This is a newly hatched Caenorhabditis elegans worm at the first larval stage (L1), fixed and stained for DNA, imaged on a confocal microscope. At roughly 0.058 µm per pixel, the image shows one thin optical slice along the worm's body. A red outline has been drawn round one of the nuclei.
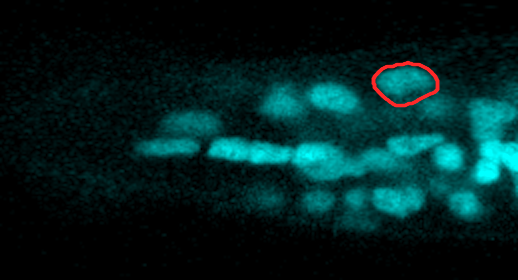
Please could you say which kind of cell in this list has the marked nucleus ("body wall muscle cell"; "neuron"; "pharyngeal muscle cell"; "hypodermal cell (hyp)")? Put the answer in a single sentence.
The marked cell is a body wall muscle cell.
